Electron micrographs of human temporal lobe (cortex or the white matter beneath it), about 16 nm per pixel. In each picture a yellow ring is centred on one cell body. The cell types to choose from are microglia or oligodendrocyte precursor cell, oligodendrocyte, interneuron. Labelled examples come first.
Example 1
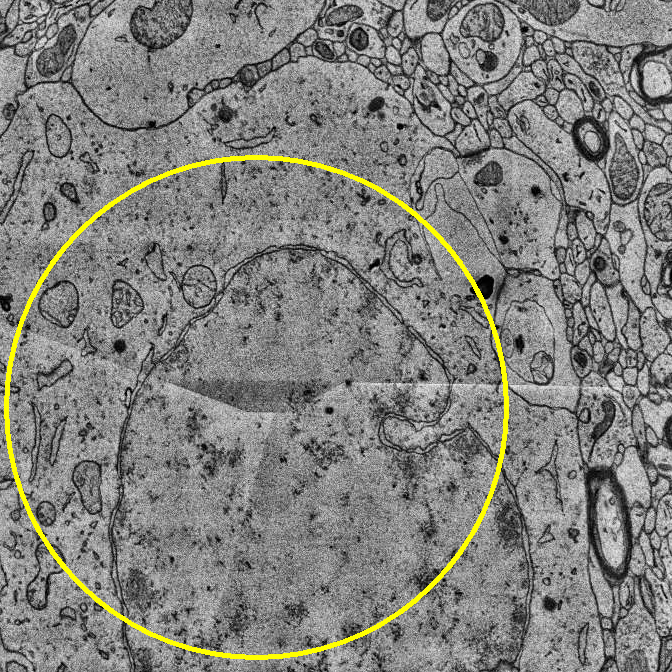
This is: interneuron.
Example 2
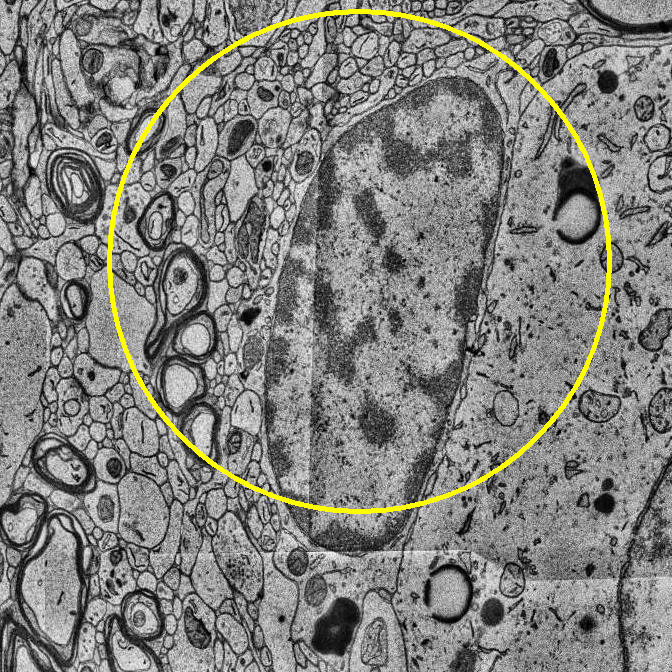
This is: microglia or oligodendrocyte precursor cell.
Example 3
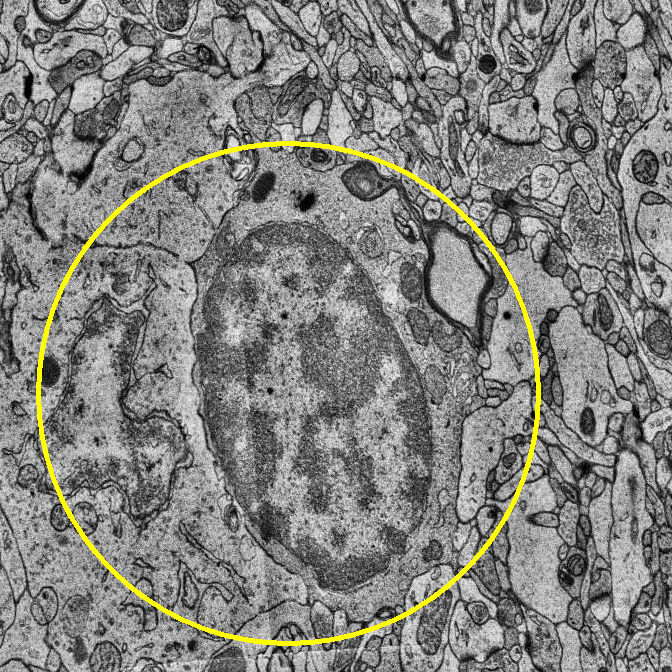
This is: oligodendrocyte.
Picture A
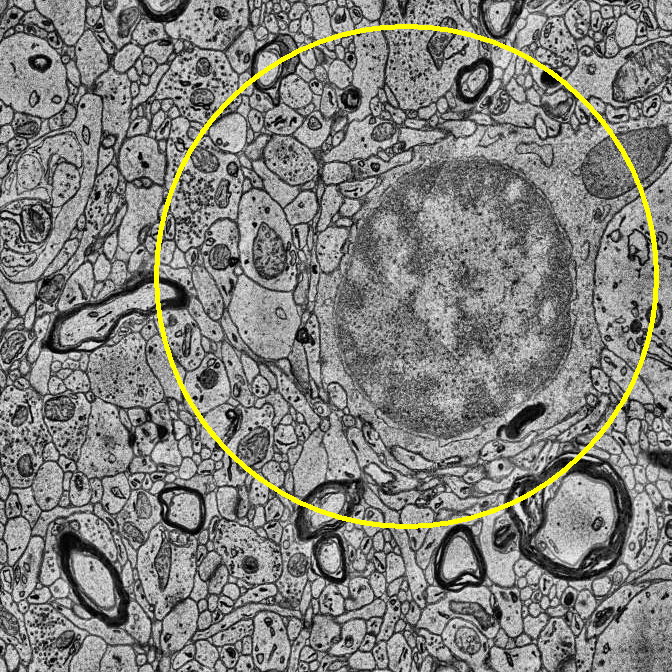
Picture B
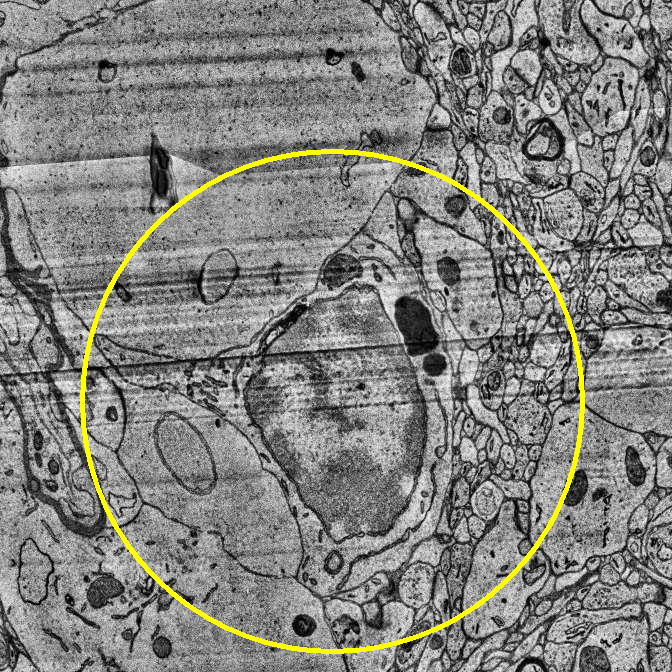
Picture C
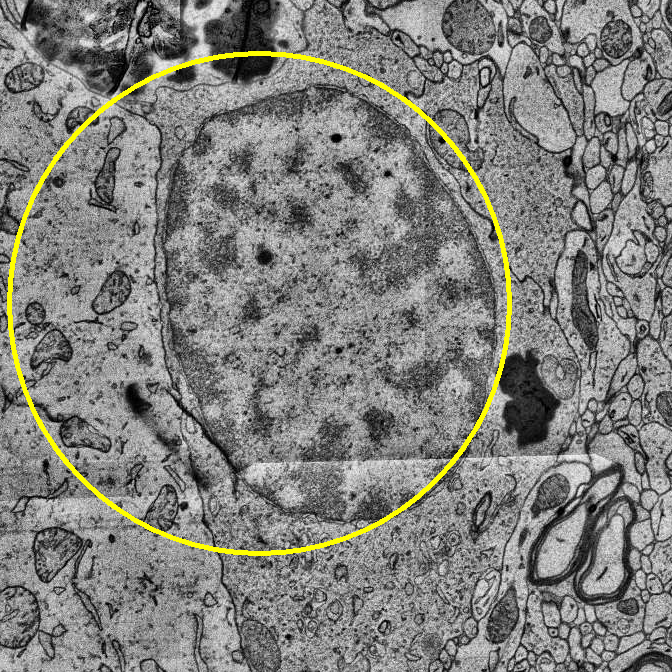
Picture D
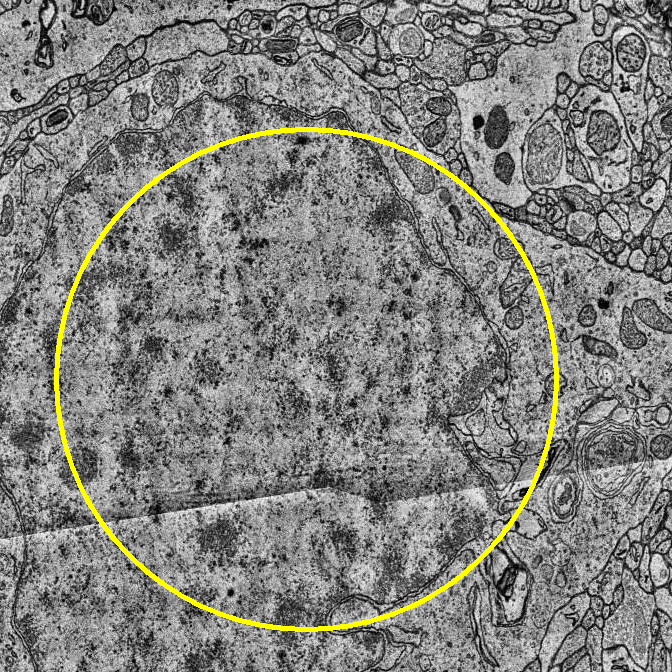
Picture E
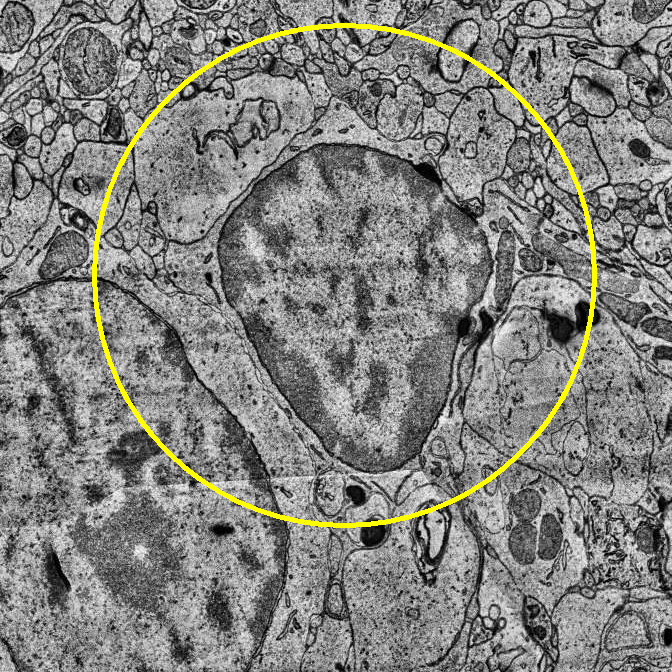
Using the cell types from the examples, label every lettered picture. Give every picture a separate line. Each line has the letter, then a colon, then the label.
A: oligodendrocyte.
B: microglia or oligodendrocyte precursor cell.
C: oligodendrocyte.
D: interneuron.
E: microglia or oligodendrocyte precursor cell.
